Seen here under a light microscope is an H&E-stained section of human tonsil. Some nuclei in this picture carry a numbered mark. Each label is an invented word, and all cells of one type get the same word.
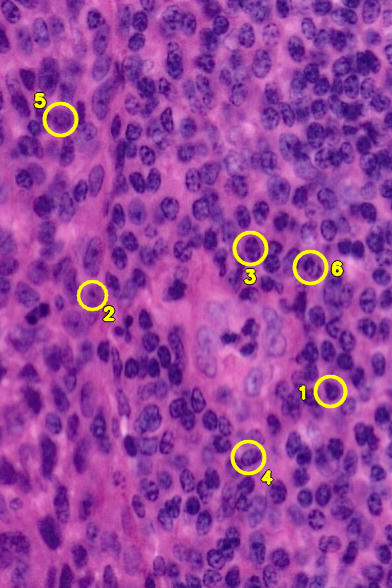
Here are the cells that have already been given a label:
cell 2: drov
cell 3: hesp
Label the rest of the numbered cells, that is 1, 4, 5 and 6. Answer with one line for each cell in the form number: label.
1: hesp
4: hesp
5: drov
6: hesp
